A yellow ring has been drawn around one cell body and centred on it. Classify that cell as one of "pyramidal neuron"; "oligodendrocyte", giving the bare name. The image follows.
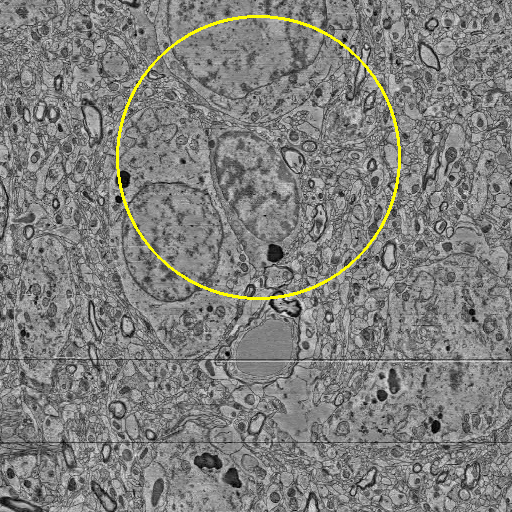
oligodendrocyte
